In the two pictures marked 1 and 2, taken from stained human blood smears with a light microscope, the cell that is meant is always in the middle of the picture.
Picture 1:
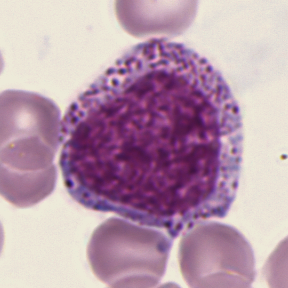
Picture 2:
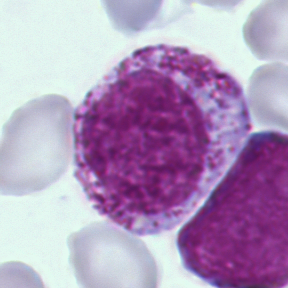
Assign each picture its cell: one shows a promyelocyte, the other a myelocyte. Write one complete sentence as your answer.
In picture 1 the cell is a promyelocyte; in picture 2, a myelocyte.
